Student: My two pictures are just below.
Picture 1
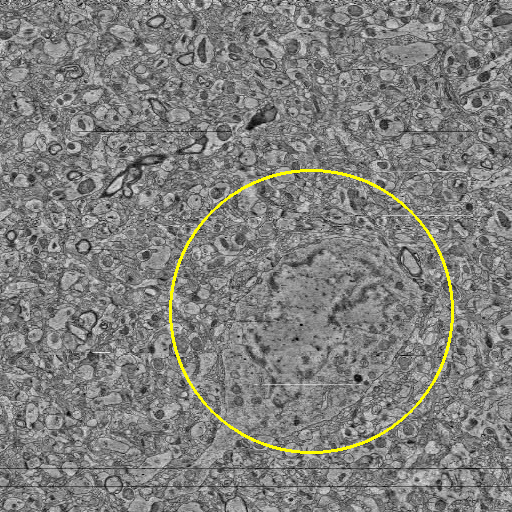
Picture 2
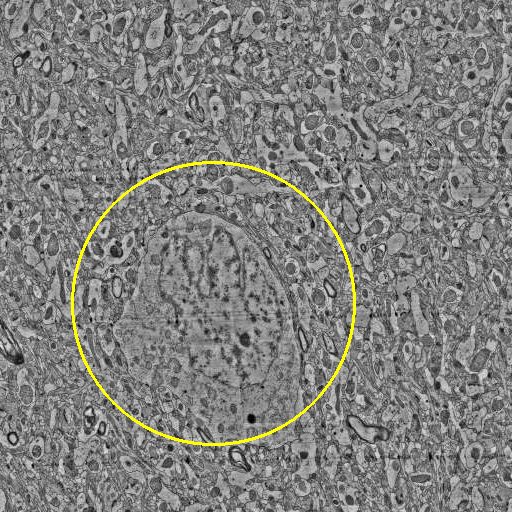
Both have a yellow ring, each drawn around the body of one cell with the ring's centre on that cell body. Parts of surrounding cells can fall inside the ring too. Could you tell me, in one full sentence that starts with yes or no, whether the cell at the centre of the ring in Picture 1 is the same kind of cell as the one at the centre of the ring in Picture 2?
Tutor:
Yes, the two cells are of the same kind.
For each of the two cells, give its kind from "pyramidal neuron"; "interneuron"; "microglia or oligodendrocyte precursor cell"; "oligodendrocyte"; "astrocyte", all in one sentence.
The first and the second cell are each an interneuron.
